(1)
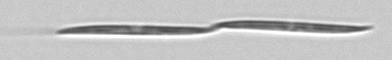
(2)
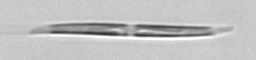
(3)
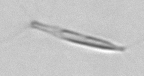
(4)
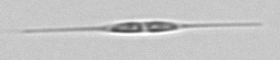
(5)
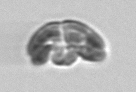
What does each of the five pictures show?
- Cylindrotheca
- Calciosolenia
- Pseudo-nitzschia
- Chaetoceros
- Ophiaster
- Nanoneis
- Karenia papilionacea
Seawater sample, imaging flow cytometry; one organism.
1: Pseudo-nitzschia
2: Pseudo-nitzschia
3: Calciosolenia
4: Cylindrotheca
5: Karenia papilionacea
